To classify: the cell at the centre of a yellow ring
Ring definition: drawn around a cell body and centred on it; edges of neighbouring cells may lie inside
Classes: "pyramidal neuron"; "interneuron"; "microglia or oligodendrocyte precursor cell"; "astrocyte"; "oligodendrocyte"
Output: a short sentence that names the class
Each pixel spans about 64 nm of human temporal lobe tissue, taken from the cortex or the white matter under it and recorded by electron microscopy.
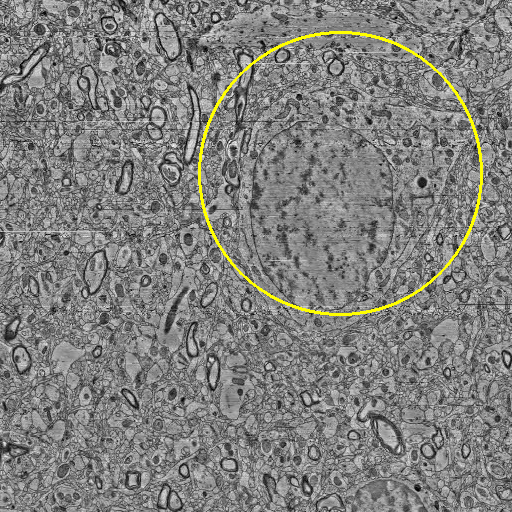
The ringed cell is a pyramidal neuron.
